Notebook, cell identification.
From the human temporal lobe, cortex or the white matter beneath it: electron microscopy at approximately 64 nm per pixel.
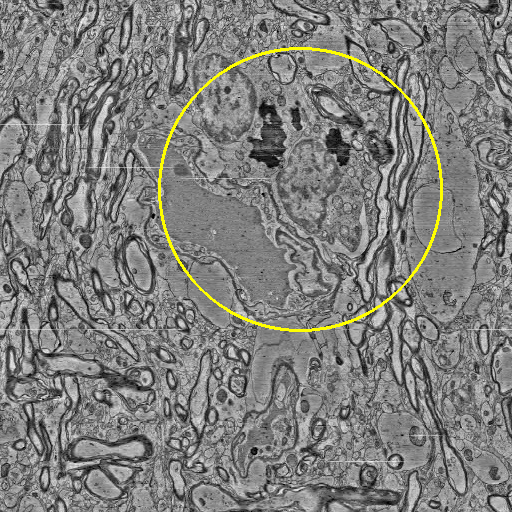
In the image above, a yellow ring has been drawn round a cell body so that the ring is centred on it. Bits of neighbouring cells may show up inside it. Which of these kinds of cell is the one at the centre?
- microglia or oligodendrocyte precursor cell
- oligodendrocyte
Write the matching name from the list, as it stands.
oligodendrocyte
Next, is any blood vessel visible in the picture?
Yes, a vessel appears in the picture.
